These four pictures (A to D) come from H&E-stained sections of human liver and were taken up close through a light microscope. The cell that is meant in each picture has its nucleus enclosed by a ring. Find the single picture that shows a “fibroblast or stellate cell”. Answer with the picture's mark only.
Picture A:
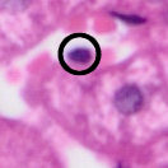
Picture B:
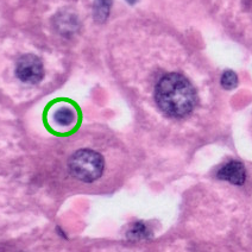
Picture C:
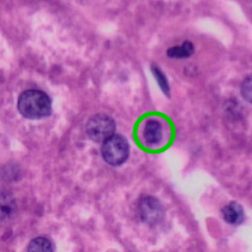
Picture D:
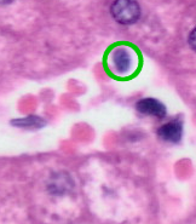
C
